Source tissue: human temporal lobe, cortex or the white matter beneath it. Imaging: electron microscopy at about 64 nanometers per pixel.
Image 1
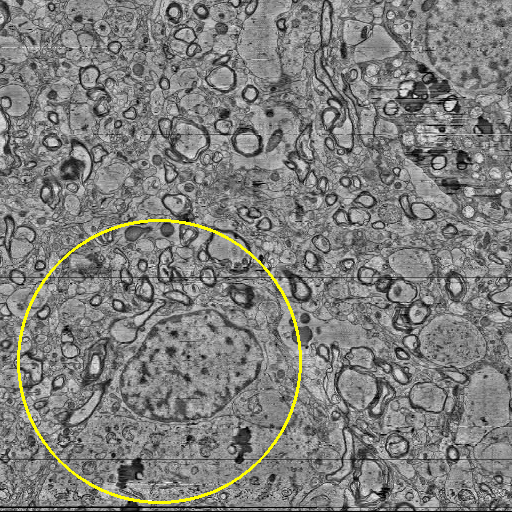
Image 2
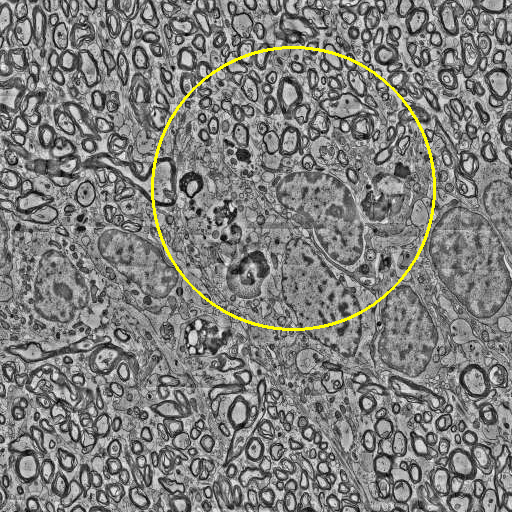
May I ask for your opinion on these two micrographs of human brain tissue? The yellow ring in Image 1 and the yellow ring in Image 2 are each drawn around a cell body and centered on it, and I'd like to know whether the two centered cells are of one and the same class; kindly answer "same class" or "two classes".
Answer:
same class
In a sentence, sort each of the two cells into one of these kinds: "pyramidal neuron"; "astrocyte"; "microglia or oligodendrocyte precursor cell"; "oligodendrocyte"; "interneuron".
Each of the two rings surrounds a microglial cell or oligodendrocyte precursor cell.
